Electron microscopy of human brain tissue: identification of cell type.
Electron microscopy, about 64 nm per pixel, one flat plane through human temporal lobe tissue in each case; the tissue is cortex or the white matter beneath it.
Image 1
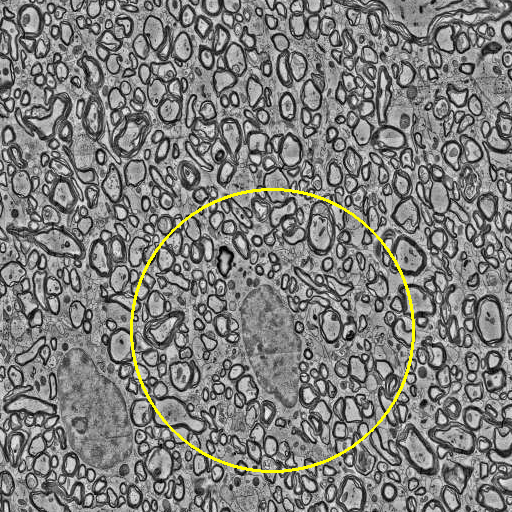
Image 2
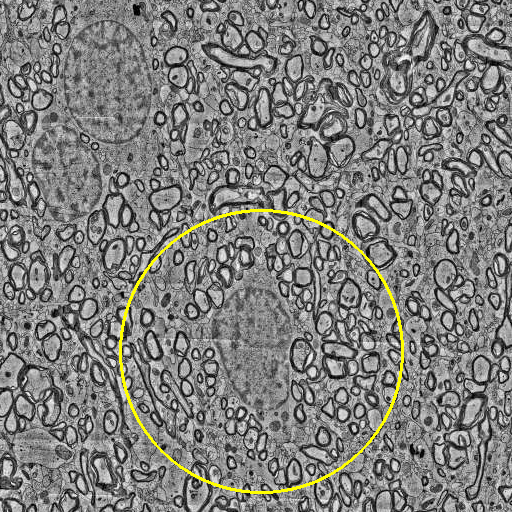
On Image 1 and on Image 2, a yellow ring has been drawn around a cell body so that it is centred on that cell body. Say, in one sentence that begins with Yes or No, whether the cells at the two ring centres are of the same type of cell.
Yes, both cells are the same type of cell.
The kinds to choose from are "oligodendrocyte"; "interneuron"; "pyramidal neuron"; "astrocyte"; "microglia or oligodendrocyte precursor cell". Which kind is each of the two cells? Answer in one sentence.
Both the first and the second picture show an oligodendrocyte in the ring.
